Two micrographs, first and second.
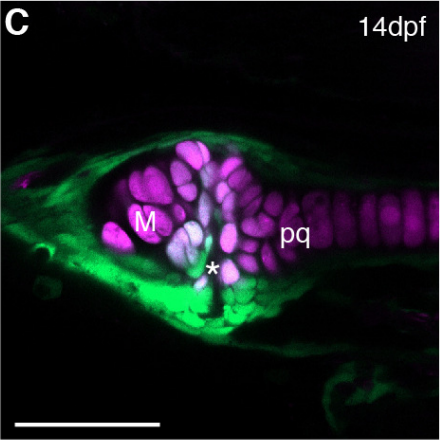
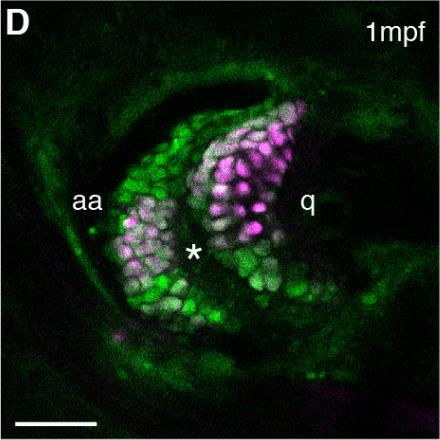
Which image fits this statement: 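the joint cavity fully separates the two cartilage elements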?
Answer: The second image.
